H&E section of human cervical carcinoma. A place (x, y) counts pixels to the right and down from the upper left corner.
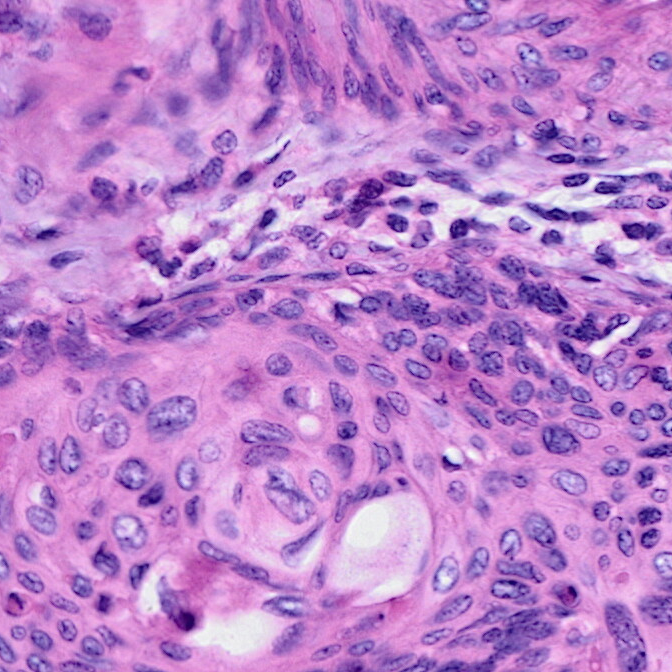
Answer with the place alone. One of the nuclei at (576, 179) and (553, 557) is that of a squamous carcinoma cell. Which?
(553, 557)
